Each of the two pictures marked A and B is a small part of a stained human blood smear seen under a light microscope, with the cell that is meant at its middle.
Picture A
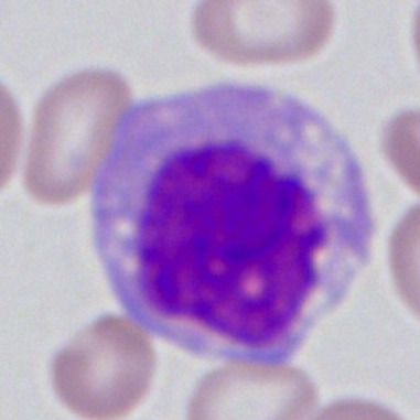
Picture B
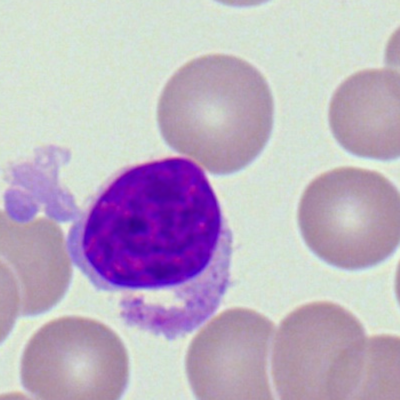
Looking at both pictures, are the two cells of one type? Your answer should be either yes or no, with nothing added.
no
